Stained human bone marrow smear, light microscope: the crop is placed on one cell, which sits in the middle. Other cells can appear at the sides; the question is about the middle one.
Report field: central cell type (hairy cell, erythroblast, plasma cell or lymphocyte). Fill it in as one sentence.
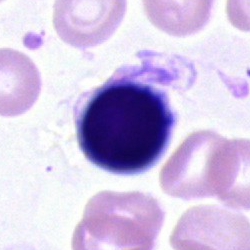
The centrally positioned cell in the crop represents a lymphocyte.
